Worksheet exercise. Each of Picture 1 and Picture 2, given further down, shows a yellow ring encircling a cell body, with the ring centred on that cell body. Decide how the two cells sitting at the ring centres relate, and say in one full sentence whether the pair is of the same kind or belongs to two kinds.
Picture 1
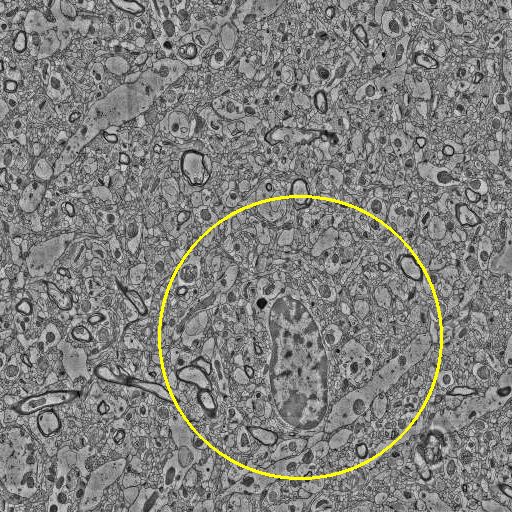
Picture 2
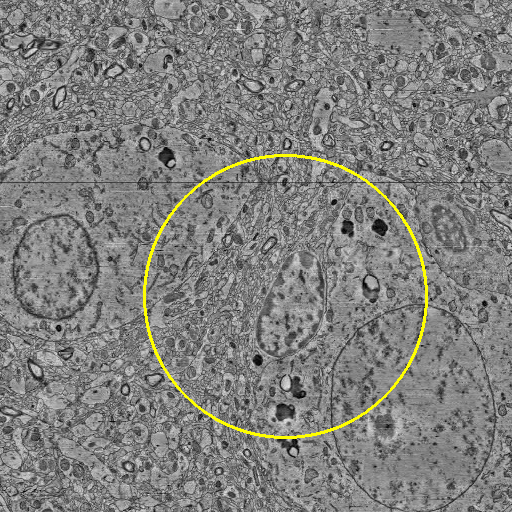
The cells at the ring centres in Picture 1 and Picture 2 are of the same kind.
